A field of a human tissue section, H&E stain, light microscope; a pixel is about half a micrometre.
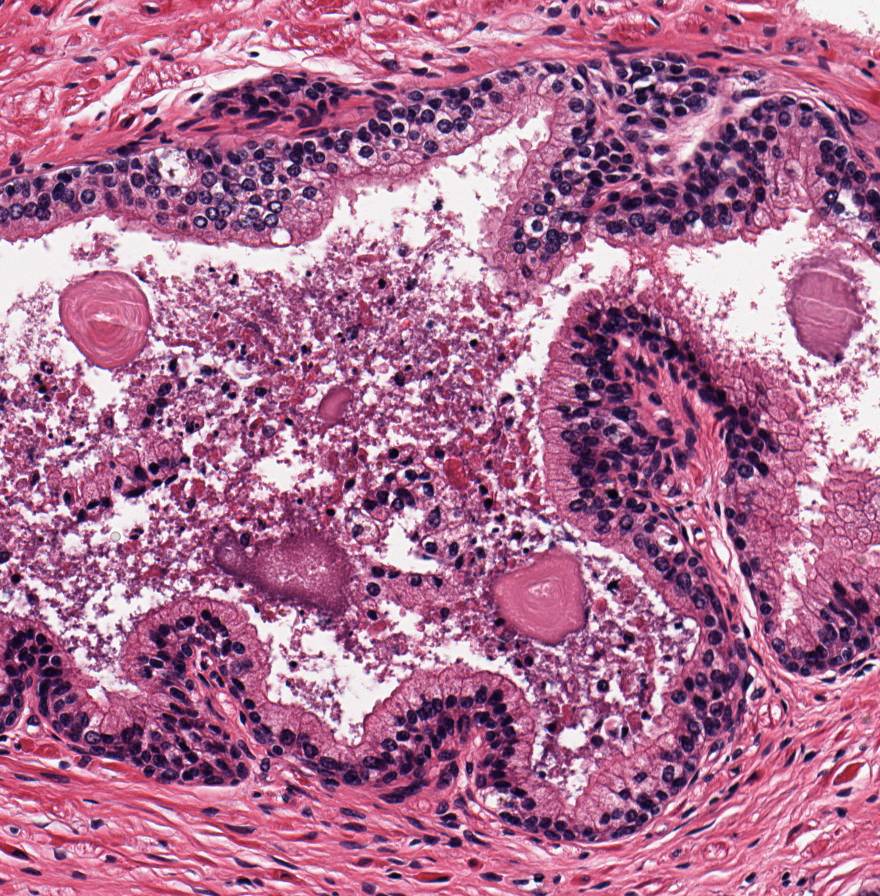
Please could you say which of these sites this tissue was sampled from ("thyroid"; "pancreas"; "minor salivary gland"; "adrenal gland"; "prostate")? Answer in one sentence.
The site this tissue was sampled from is the prostate.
